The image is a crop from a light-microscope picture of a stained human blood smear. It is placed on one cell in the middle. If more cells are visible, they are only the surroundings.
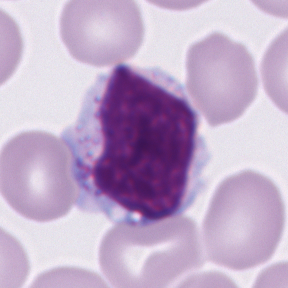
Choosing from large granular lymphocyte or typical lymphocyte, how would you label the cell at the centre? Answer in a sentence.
The cell the crop is centered on is a large granular lymphocyte.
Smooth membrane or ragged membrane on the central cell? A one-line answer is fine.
A ragged or projecting edge replaces the smooth outline in this cell.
